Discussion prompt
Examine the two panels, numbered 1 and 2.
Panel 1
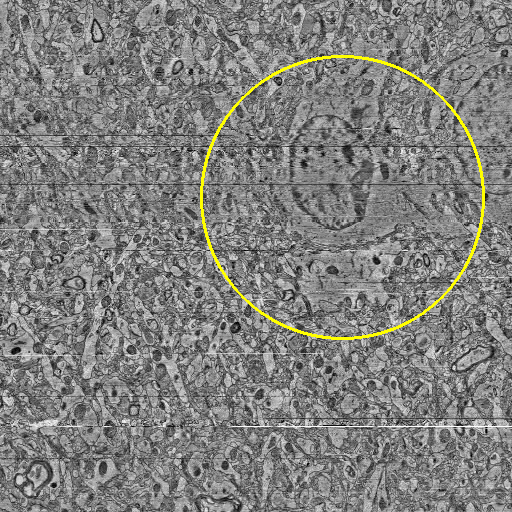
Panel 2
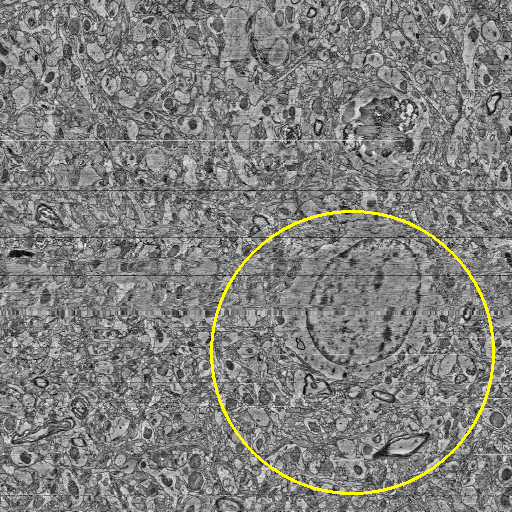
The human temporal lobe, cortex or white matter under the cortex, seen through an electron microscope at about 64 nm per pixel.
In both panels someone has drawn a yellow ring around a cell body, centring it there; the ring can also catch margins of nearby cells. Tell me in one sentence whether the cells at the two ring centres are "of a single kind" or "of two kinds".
Taken together, the two cells centred in the rings of Panels 1 and 2 are of a single kind.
